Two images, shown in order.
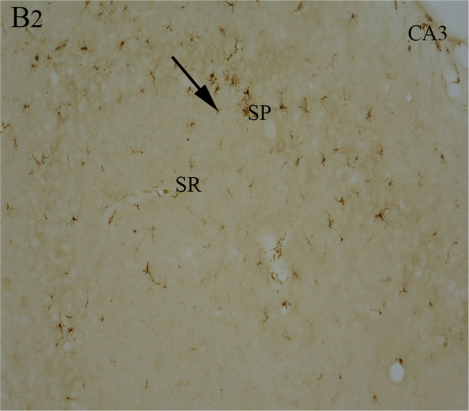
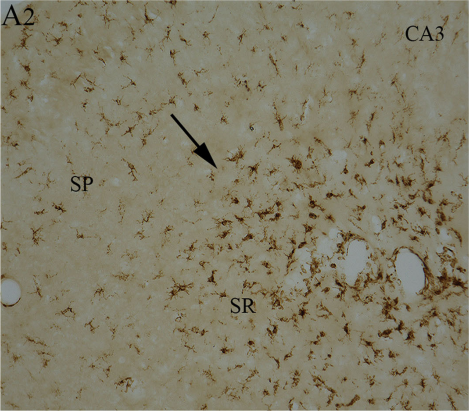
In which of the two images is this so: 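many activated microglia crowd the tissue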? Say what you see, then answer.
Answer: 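The second image. First image: only a few scattered, faint brown cells on a pale background. Second image: dense brown branched cells throughout, crowded around vessels.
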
